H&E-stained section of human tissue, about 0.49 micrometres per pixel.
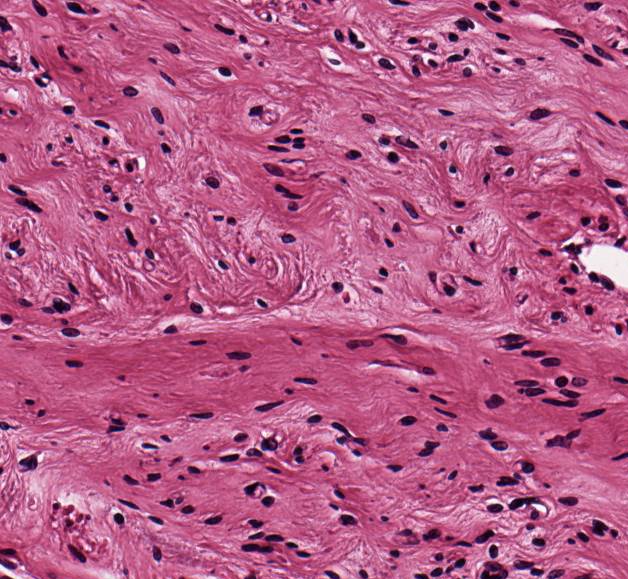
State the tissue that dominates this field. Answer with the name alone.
smooth muscle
